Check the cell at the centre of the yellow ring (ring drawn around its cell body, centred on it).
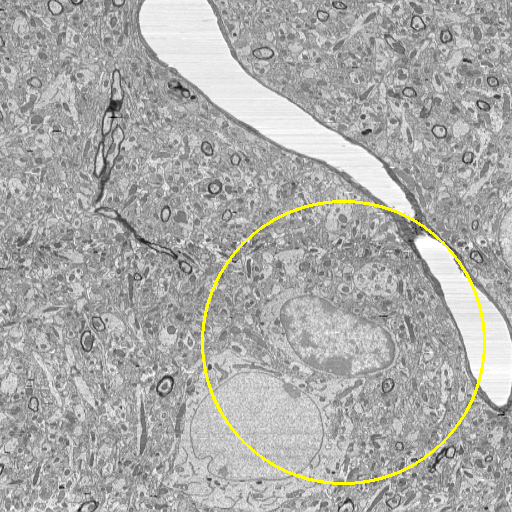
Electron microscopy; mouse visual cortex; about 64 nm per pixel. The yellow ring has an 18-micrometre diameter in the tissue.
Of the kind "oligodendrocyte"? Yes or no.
yes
